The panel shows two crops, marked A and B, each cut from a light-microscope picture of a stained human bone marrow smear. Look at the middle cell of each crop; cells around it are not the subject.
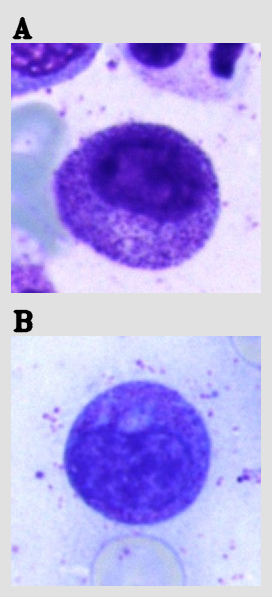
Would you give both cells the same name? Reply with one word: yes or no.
no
